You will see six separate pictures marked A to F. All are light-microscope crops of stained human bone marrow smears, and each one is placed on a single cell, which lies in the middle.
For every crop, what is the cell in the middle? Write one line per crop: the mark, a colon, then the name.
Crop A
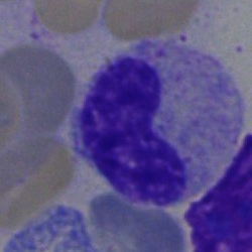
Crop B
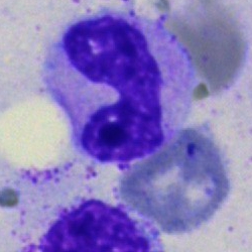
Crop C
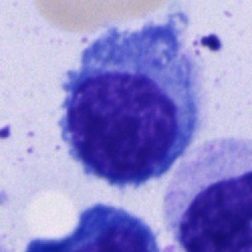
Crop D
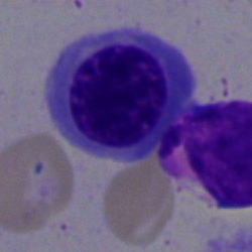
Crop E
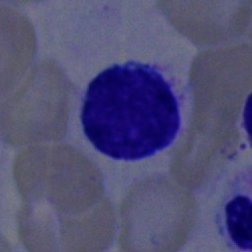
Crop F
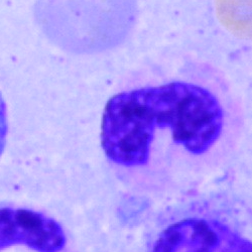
A: band neutrophil
B: band neutrophil
C: lymphocyte
D: normoblast
E: lymphocyte
F: band neutrophil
